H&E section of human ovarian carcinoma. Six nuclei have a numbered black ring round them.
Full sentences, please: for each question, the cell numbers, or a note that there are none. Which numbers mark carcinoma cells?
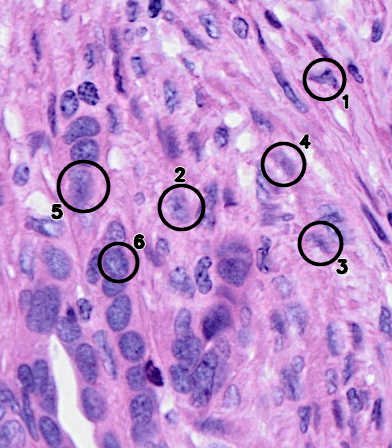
In this section, the cells numbered 5 and 6 are carcinoma cells.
